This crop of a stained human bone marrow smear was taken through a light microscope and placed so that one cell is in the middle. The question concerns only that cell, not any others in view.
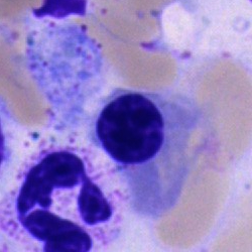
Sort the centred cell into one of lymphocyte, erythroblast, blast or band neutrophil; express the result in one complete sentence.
The centered cell in this crop is an erythroblast.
